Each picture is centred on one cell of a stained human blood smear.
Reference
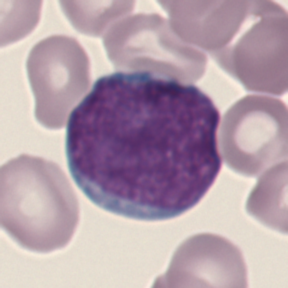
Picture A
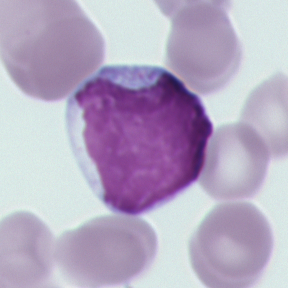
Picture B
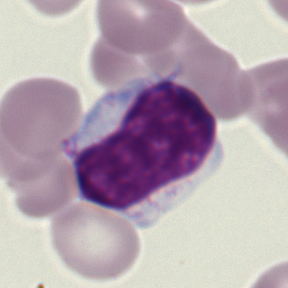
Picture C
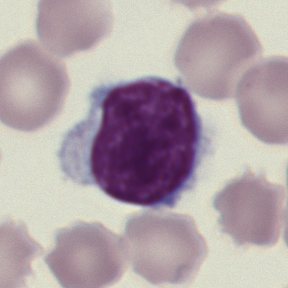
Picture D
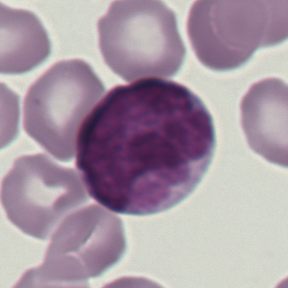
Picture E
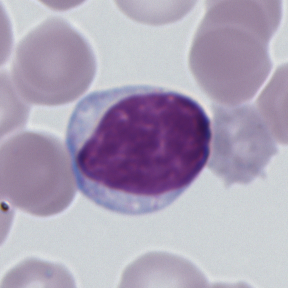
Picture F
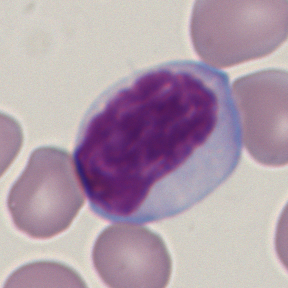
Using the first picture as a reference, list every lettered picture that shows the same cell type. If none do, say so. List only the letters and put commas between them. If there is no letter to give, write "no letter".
D, F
